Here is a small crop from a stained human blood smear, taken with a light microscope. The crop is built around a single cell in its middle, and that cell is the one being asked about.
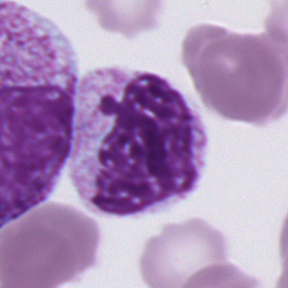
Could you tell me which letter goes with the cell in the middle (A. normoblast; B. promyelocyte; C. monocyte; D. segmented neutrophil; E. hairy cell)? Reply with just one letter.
D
